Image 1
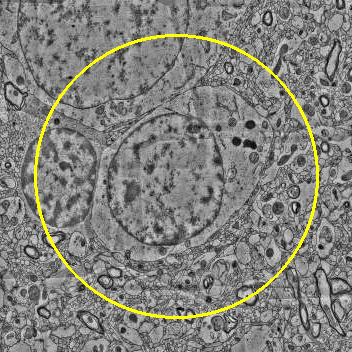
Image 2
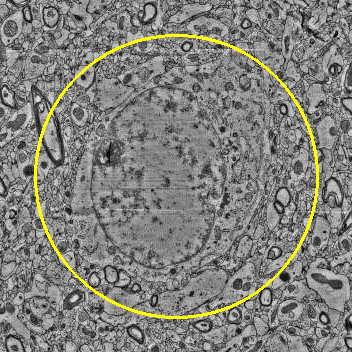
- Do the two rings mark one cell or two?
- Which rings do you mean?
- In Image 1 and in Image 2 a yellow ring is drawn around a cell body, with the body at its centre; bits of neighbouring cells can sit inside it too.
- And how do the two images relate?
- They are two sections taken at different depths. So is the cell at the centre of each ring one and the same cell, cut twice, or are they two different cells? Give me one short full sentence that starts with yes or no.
No, two different cells appear inside the two yellow rings.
